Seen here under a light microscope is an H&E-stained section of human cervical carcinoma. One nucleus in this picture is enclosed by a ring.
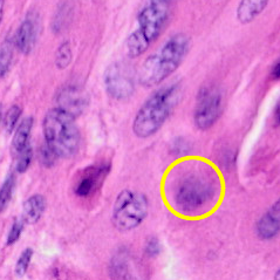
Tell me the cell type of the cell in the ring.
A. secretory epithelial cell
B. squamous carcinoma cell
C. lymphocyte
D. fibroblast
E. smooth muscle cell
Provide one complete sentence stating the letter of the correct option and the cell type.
Option B, identifying the cell in the ring as a squamous carcinoma cell, is correct.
